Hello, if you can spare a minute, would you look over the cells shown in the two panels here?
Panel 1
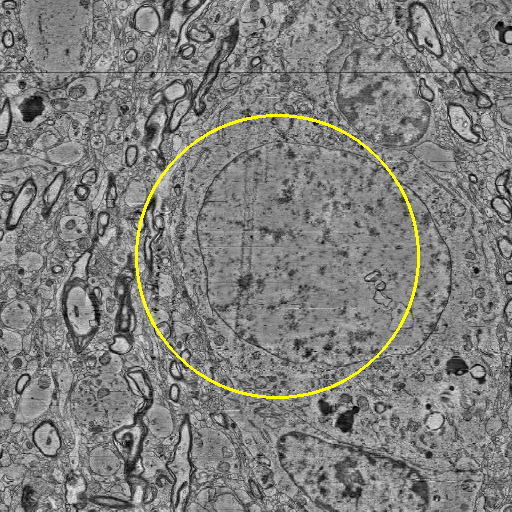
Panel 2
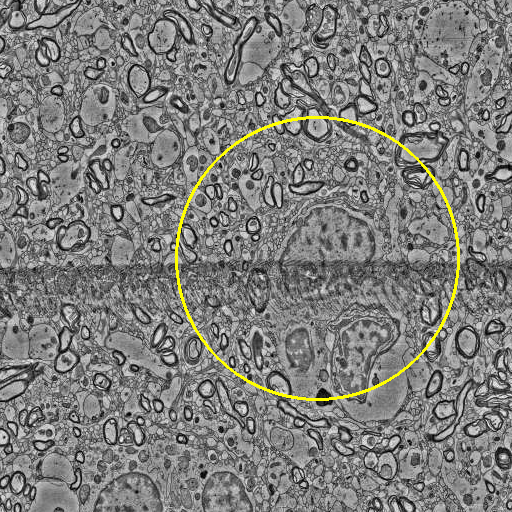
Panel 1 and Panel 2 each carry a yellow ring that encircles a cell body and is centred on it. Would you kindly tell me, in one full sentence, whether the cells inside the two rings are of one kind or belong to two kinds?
The cells at the centres of the rings in Panel 1 and Panel 2 belong to two kinds.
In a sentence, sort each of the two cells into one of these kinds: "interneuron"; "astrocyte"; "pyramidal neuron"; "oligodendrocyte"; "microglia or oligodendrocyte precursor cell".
The first of the two cells is a pyramidal neuron, and the second is an oligodendrocyte.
